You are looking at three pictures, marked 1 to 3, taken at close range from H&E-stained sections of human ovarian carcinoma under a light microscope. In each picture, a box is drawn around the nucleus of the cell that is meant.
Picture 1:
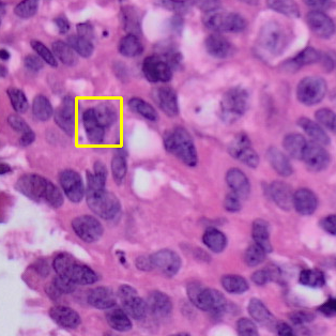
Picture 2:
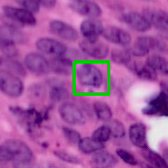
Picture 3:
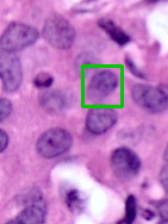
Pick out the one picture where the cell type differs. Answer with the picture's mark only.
2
